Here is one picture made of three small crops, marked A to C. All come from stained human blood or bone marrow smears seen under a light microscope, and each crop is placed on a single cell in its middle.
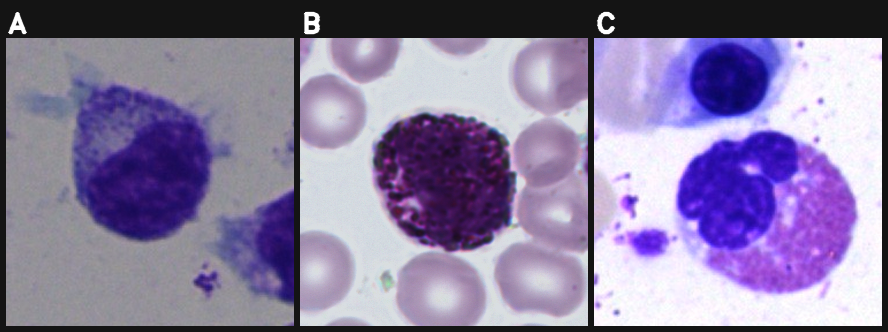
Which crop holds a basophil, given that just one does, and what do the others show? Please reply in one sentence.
Crop B comes out as a basophil, while crop A is a myelocyte and crop C is an eosinophil.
